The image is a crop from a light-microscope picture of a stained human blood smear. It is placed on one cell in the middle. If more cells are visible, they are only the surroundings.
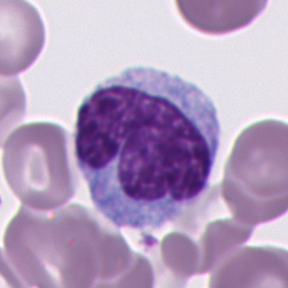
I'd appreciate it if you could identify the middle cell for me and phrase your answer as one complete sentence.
Among the cells in view, the one in the middle is a monocyte.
